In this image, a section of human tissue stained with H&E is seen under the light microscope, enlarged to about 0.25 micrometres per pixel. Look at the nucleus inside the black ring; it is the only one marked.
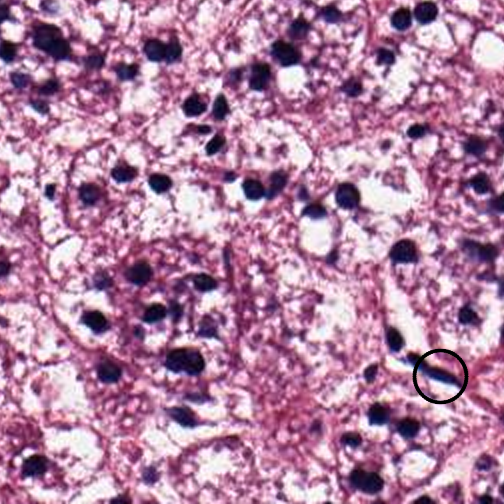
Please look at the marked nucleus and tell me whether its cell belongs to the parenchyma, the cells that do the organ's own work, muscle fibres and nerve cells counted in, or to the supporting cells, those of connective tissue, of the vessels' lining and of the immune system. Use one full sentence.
The marked nucleus is part of a supporting cell.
